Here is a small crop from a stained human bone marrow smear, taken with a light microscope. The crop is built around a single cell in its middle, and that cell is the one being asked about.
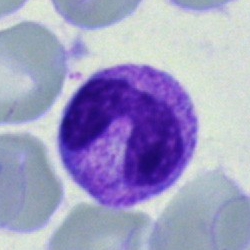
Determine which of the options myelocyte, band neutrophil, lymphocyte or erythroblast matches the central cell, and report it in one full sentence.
Classification of the middle cell gives a band neutrophil.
